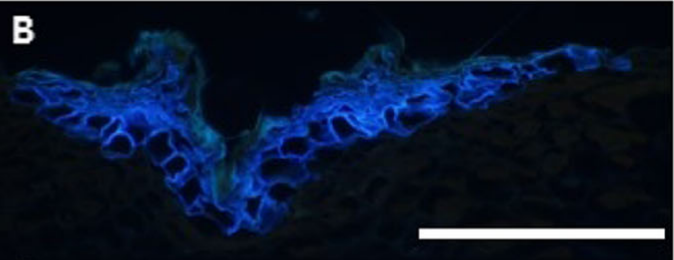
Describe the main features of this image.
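The cells are flattened to polygonal and their walls fluoresce bright blue, giving a honeycomb-like network with dark cell interiors. The layer is a few cells thick and dips into a V-shaped fold at the centre. Wispy, paler blue-green material projects above the surface near the fold. Beneath the blue layer the underlying tissue is dark and shows little fluorescence.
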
